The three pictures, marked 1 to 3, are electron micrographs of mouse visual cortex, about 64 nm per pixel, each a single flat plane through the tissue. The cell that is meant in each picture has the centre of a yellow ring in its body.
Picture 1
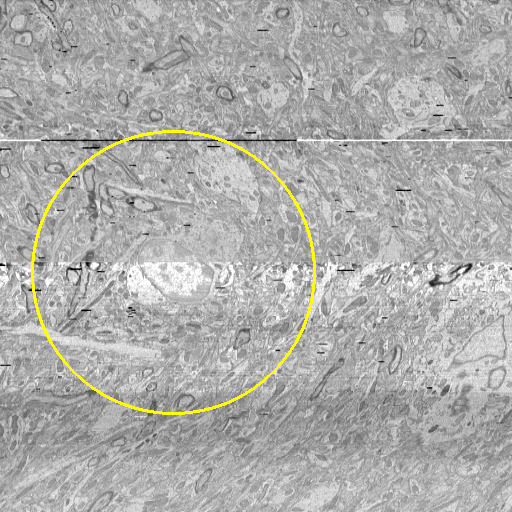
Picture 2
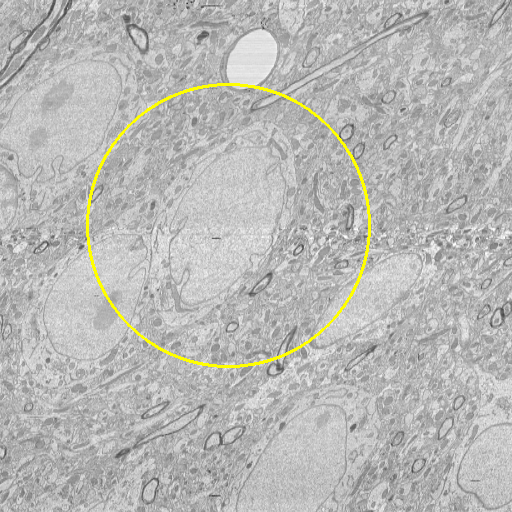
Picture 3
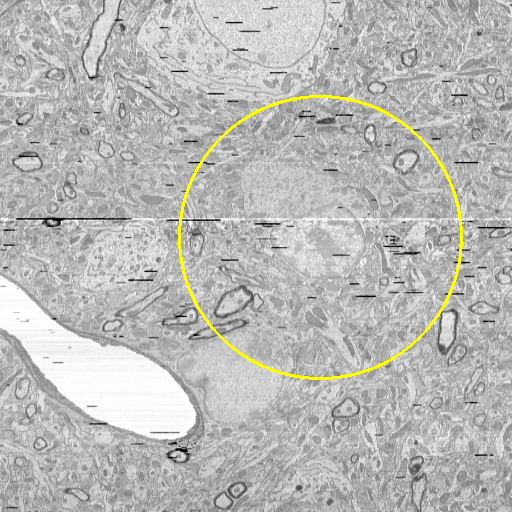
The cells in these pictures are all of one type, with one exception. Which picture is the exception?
All pictures except 2 show oligodendrocytes; picture 2 shows an inhibitory neuron.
